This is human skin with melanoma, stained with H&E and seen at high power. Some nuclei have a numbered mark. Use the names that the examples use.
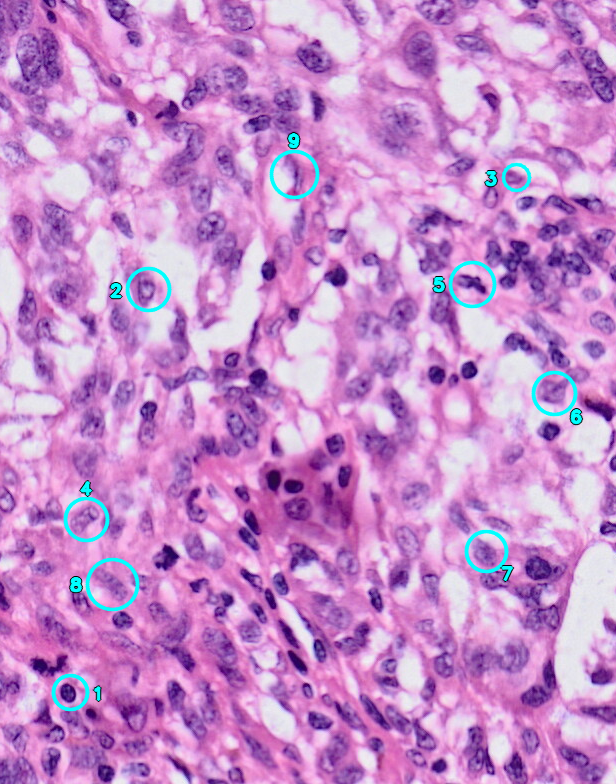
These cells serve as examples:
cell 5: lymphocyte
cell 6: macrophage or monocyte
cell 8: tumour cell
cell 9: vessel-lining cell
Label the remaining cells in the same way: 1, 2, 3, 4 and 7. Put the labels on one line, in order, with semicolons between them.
lymphocyte; tumour cell; macrophage or monocyte; tumour cell; tumour cell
